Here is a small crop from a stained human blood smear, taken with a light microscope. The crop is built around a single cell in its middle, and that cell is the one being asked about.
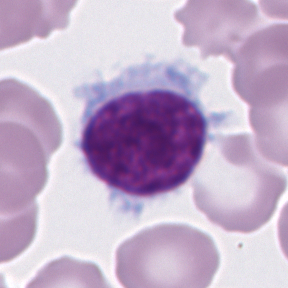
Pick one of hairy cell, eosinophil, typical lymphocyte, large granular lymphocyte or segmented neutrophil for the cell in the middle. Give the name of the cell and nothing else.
hairy cell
